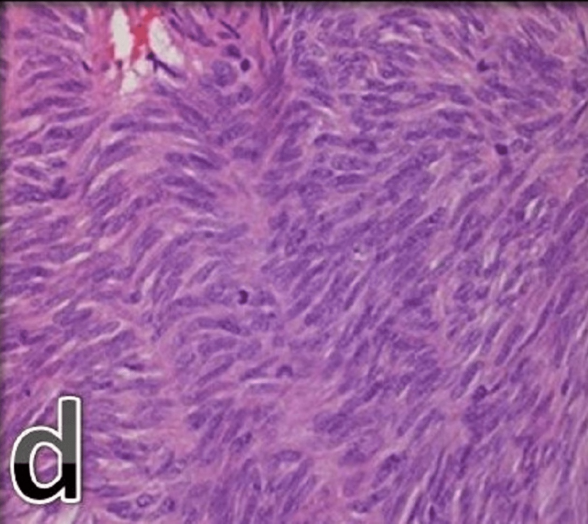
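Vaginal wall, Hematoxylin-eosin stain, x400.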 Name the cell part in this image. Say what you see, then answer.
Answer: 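Nuclei are long and cigar- to spindle-shaped. Nuclei are oriented along the direction of the cell bundles.
Conclusion: elongated nuclei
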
